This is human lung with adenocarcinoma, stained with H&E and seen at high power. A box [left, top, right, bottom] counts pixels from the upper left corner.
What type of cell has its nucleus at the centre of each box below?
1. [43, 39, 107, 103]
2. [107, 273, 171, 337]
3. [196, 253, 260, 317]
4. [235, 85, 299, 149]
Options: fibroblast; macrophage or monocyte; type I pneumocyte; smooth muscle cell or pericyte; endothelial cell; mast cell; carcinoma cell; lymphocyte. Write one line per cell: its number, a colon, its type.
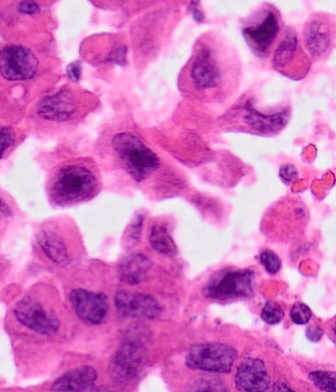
1: lymphocyte
2: carcinoma cell
3: carcinoma cell
4: carcinoma cell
